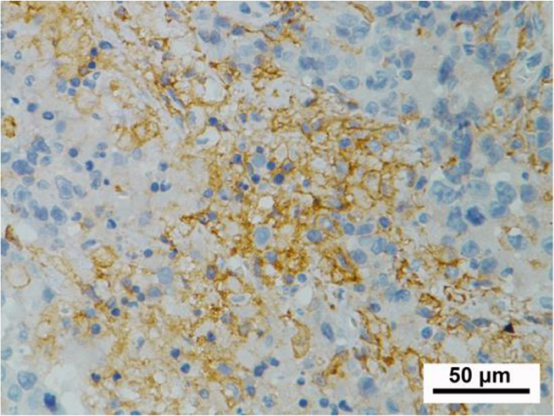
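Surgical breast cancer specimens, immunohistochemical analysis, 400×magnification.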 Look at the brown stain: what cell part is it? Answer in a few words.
Membranous.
